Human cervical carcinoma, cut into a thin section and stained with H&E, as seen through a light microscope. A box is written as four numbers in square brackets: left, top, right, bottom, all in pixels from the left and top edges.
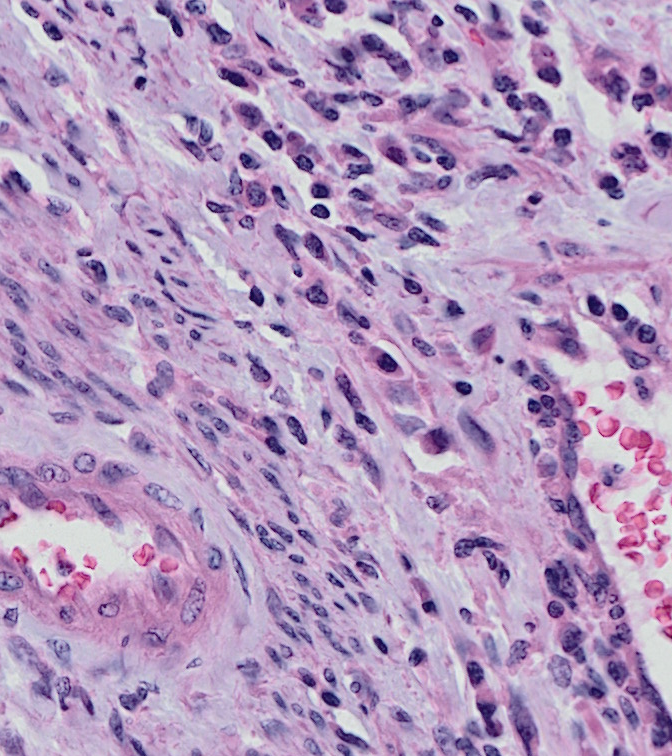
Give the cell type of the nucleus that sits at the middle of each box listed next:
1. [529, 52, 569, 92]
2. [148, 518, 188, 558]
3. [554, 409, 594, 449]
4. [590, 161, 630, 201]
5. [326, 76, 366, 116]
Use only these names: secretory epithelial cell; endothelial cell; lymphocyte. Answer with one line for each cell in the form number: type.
1: lymphocyte
2: endothelial cell
3: endothelial cell
4: lymphocyte
5: lymphocyte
